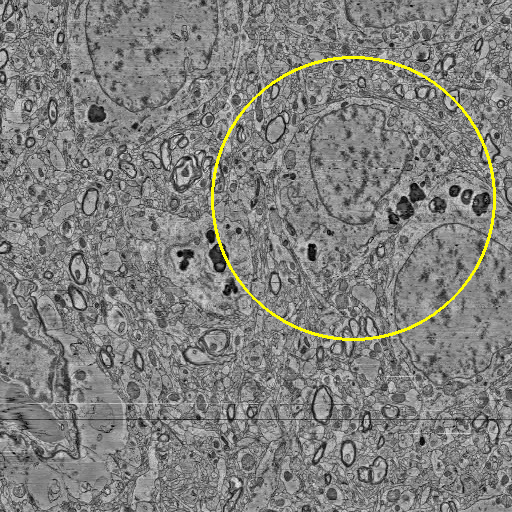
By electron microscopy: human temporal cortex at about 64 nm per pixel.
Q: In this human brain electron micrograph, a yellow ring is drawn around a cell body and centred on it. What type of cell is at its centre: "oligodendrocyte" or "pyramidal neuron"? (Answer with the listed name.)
pyramidal neuron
